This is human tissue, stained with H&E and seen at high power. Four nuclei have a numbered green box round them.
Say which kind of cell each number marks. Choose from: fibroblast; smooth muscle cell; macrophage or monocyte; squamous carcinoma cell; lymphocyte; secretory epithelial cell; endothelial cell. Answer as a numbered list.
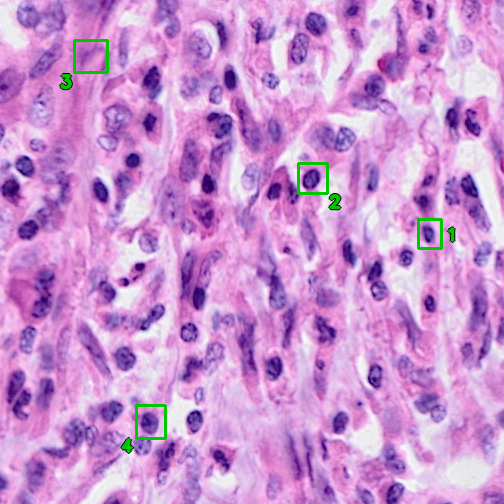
1. lymphocyte
2. lymphocyte
3. fibroblast
4. lymphocyte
